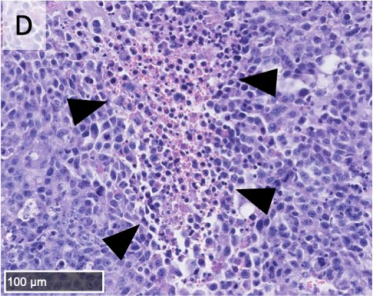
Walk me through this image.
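A band of coagulative necrosis runs through sheets of tumor cells. In its centre lies pink, granular debris crowded with small, densely stained, shrunken and fragmented nuclei, the pyknotic remains of dead cells. On either side, viable tumor cells have larger, paler, irregular purple nuclei and pink cytoplasm, packed closely without glandular pattern. The transition from viable tumor to necrotic zone is fairly abrupt, and a few small clear spaces are scattered in the viable tissue.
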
